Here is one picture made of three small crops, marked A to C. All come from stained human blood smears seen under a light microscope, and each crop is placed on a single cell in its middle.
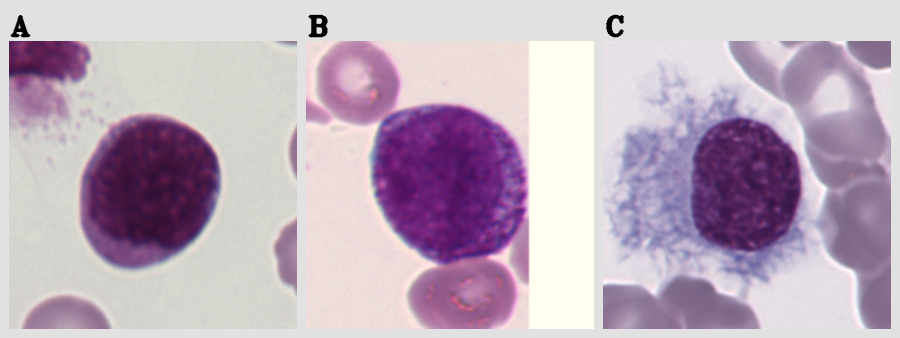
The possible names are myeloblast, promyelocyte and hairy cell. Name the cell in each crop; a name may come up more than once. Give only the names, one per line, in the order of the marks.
myeloblast
promyelocyte
hairy cell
